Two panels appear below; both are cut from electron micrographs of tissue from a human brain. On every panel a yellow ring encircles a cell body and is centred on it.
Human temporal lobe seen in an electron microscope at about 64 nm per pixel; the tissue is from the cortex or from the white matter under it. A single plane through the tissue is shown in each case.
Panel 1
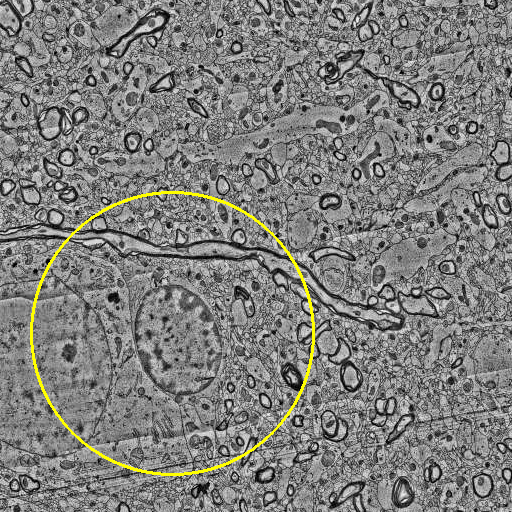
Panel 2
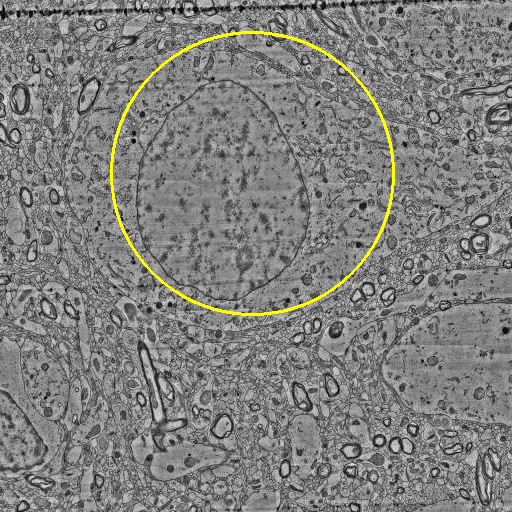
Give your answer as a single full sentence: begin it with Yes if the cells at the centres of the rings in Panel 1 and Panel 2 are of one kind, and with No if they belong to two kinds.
No, the cells in the middle of the rings in Panels 1 and 2 are of two kinds.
